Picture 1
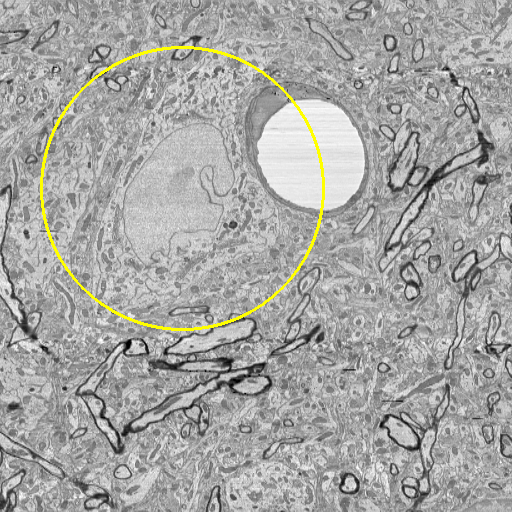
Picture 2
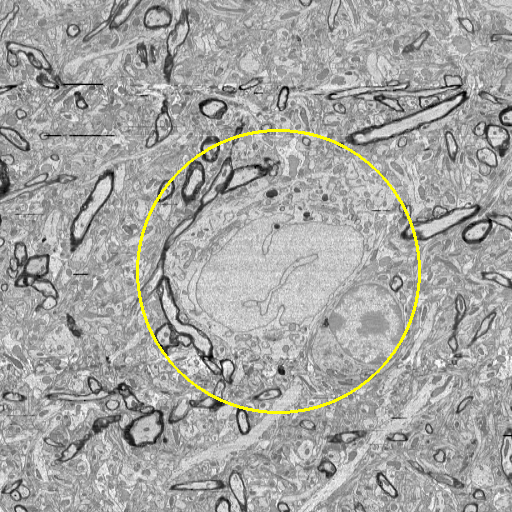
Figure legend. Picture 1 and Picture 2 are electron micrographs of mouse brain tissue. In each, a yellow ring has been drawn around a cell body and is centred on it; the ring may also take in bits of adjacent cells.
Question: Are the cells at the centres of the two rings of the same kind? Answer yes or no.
yes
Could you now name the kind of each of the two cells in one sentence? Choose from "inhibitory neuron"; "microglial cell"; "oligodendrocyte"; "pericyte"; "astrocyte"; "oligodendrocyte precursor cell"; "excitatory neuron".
The ring centre holds an inhibitory neuron in each of the two pictures.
